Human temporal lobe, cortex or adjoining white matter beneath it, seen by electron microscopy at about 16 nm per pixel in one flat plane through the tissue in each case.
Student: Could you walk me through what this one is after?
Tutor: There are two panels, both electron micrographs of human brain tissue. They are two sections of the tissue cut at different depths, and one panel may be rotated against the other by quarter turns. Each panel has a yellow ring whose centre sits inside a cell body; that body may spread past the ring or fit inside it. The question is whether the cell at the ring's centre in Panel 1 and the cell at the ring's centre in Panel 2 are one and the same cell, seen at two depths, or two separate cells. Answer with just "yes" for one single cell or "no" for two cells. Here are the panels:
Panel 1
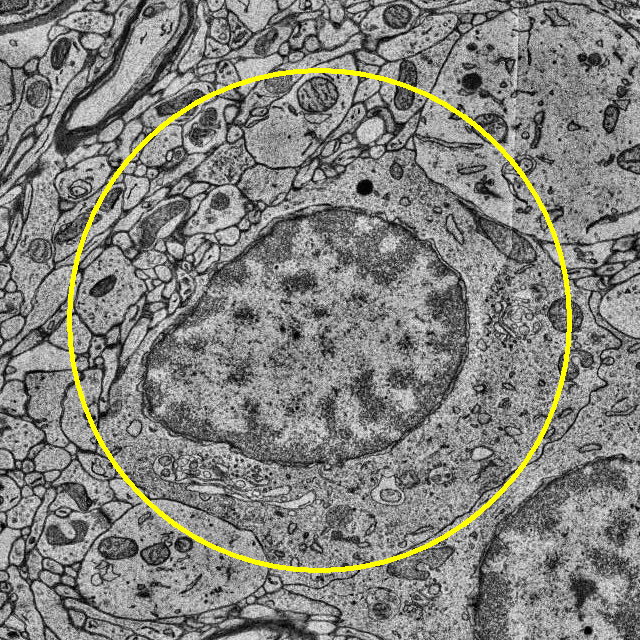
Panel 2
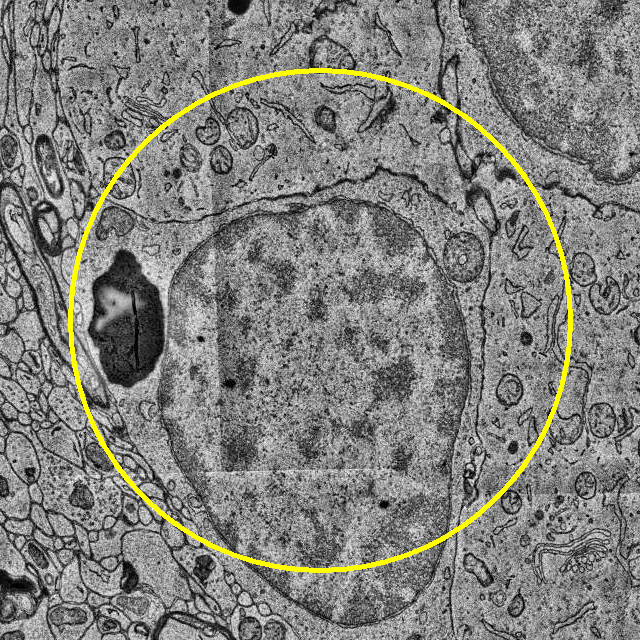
yes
